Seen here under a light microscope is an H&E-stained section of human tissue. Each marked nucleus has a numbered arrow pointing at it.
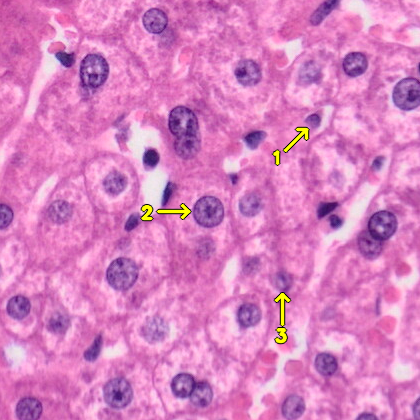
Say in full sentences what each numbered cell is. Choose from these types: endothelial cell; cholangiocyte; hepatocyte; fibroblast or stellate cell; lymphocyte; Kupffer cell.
Cell 1 is a Kupffer cell. Cells 2 and 3 are hepatocytes.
